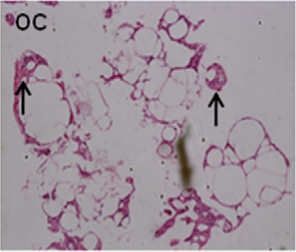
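This is white adipose tissue made of large adipocytes, each seen as an empty, round to polygonal space bounded by a thin pink rim. The fat cells vary in size, and some regions hold clusters of smaller cells. Around several adipocytes the rim is thickened into a dense ring of darker purple-pink stained material, forming crown like structures. Elsewhere the cell walls remain thin and delicate.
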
